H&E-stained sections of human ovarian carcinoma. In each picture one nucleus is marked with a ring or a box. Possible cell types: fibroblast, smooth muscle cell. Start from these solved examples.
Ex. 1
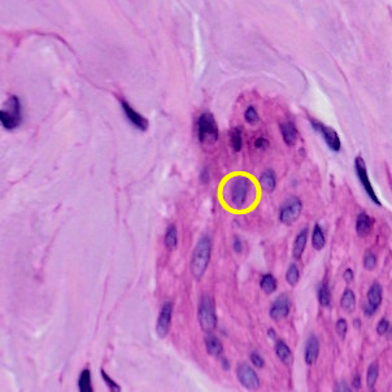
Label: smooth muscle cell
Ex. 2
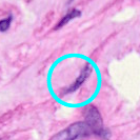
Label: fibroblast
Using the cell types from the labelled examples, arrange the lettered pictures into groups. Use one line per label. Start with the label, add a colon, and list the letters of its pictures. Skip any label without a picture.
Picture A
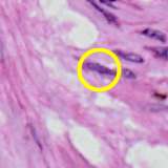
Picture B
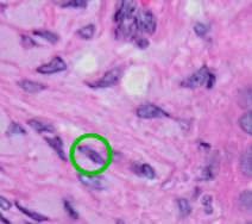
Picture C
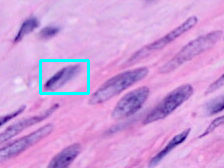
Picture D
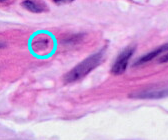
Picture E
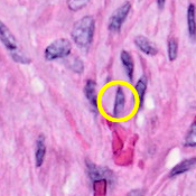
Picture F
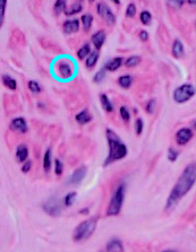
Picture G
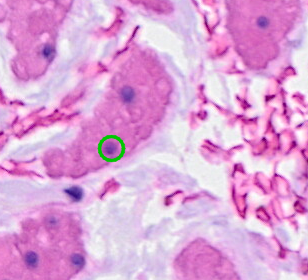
fibroblast: A, B, C, E
smooth muscle cell: D, F, G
